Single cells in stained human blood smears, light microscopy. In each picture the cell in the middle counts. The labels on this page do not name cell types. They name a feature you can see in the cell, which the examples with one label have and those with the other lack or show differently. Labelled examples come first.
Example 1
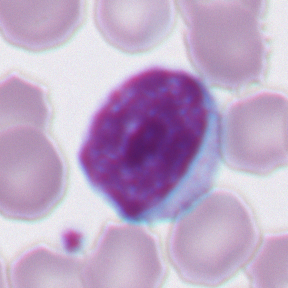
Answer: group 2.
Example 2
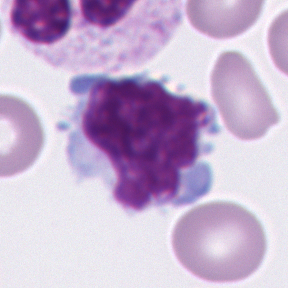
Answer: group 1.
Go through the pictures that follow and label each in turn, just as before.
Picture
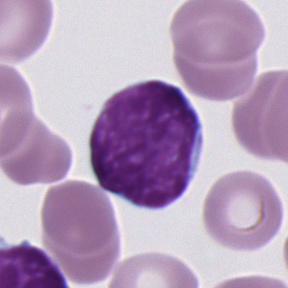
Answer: group 2.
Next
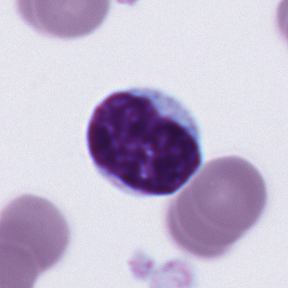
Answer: group 2.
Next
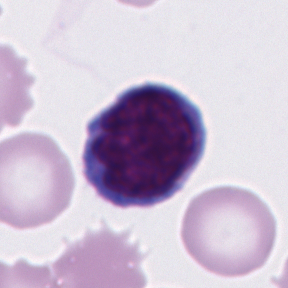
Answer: group 2.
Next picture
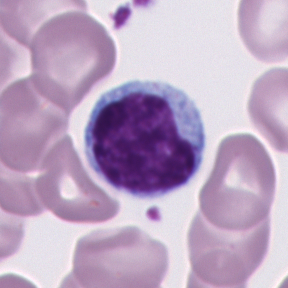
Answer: group 2.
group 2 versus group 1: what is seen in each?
Seen in group 2: smooth outline; seen in group 1: ragged outline or projections.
